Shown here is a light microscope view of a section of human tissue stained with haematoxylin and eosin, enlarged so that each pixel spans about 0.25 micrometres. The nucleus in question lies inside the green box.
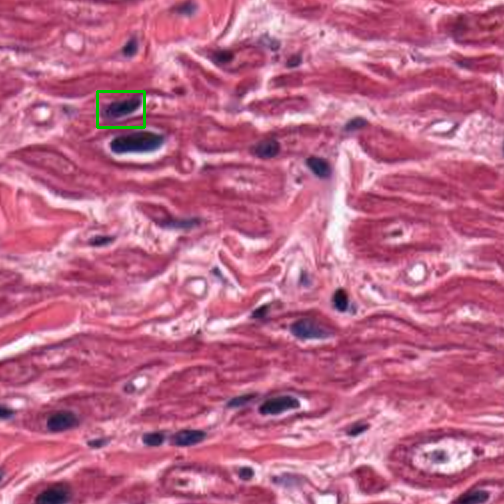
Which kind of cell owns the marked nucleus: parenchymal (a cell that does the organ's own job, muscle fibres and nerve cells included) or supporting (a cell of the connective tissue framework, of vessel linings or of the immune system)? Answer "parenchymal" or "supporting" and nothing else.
parenchymal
